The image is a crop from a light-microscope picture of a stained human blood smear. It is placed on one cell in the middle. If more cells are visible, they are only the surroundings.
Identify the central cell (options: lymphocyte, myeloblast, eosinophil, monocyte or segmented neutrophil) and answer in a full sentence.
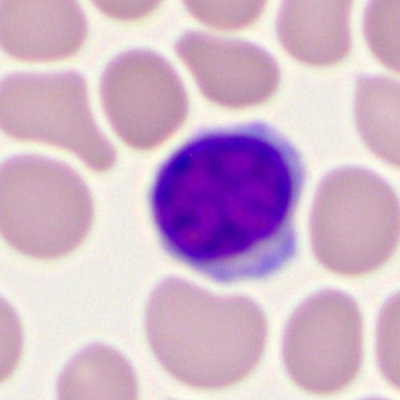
At the middle of the frame sits a lymphocyte.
